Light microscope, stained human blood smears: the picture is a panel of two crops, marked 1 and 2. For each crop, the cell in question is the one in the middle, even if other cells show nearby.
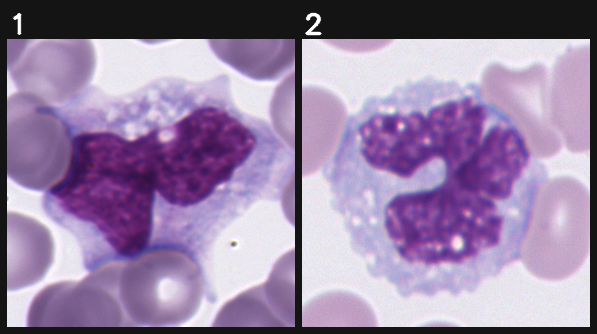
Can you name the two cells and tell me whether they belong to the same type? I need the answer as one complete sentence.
Yes, the first and the second crop both show monocytes.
